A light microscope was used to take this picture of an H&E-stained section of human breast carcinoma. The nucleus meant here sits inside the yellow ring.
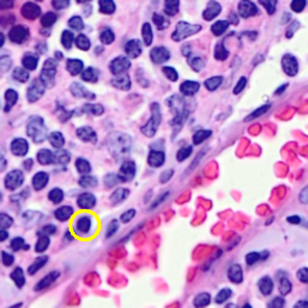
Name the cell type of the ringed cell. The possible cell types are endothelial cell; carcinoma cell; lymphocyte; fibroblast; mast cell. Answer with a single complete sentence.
The cell type of the ringed cell is that of a lymphocyte.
